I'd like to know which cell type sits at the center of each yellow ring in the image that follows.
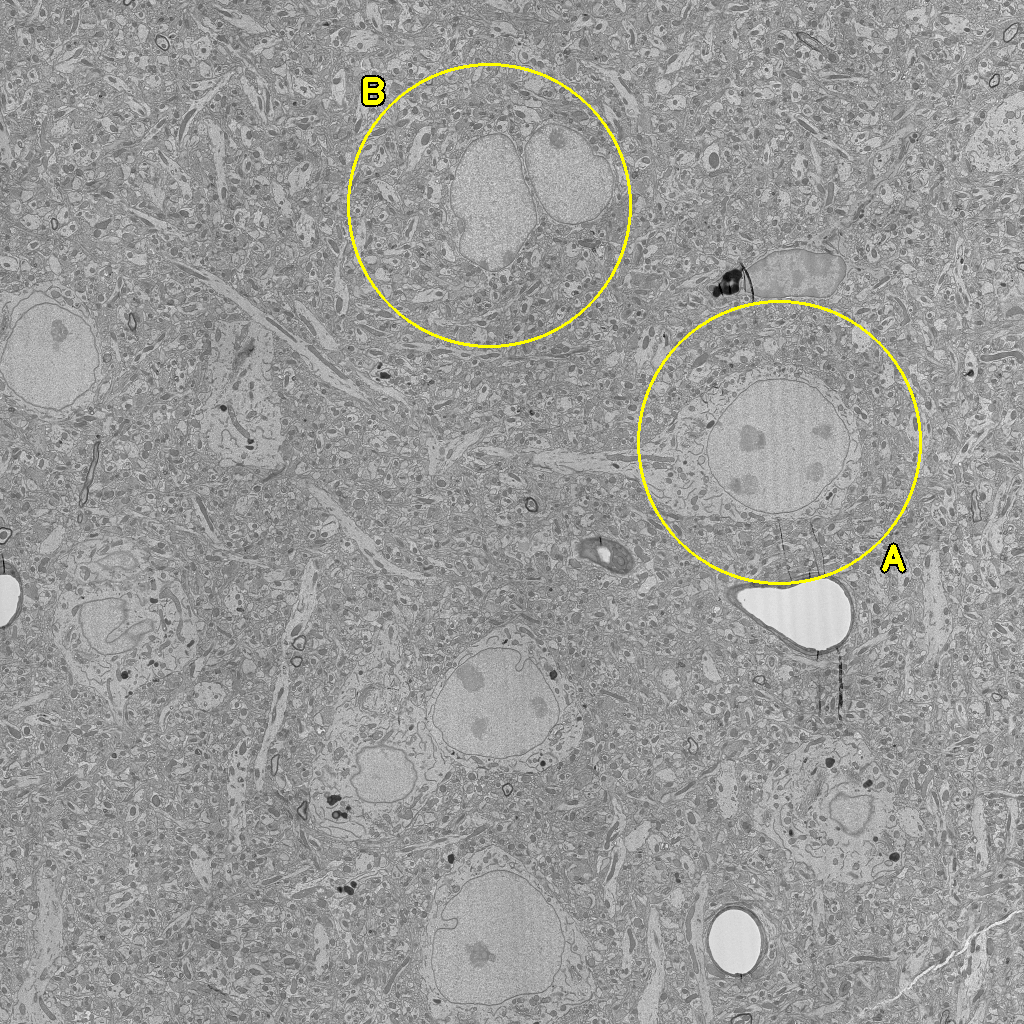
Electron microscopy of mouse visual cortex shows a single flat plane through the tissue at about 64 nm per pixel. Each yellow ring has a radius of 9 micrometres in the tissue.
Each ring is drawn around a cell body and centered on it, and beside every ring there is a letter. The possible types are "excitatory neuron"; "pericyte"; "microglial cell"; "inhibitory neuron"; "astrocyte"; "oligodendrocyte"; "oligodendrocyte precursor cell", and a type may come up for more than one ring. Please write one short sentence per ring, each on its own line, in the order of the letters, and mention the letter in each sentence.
The cell at the center of ring A is an excitatory neuron.
The cell at the center of ring B is an astrocyte.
